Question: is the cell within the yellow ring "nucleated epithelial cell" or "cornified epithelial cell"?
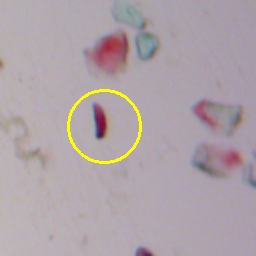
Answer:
cornified epithelial cell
